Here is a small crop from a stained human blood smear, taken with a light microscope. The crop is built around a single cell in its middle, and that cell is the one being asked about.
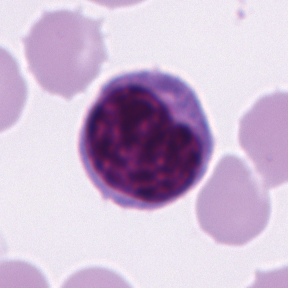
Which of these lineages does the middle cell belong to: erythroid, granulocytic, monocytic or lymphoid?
erythroid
